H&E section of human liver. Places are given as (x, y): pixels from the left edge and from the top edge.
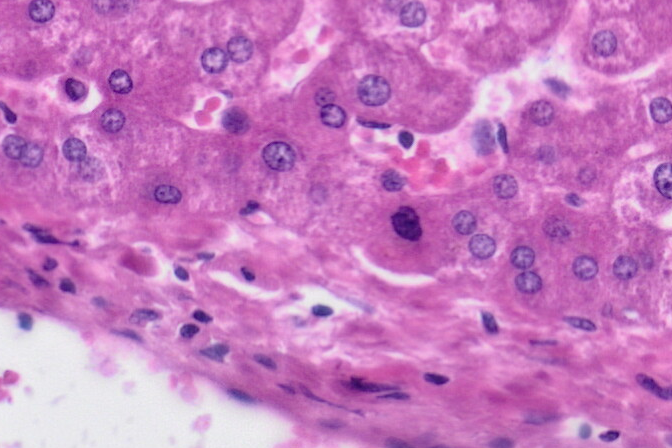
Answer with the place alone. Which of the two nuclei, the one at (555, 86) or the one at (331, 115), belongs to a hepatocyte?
(331, 115)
